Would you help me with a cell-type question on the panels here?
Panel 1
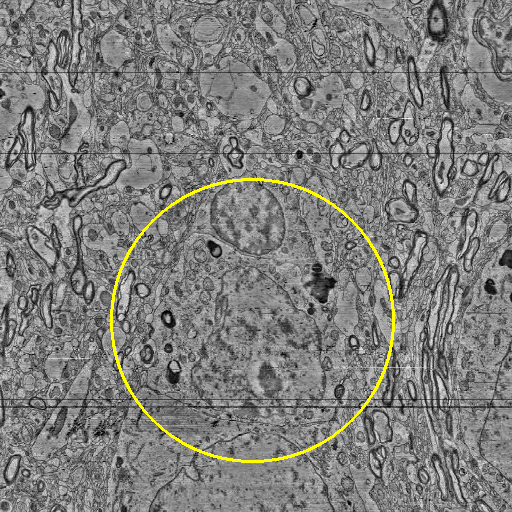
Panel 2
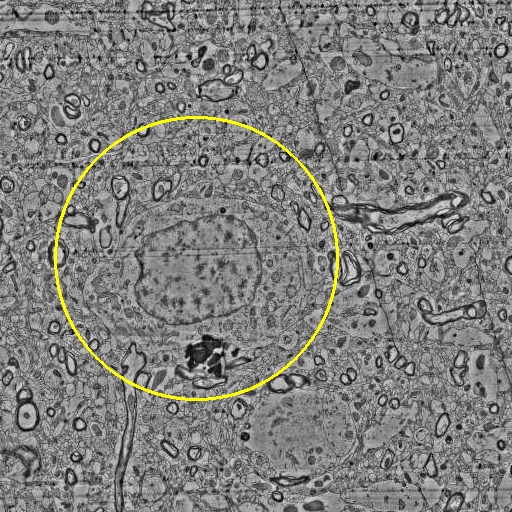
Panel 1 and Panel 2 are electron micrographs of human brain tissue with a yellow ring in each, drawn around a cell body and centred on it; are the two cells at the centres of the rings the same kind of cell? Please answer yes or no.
yes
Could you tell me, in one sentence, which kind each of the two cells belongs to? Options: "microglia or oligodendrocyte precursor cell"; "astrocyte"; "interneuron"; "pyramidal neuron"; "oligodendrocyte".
Each of the two rings is centred on an interneuron.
